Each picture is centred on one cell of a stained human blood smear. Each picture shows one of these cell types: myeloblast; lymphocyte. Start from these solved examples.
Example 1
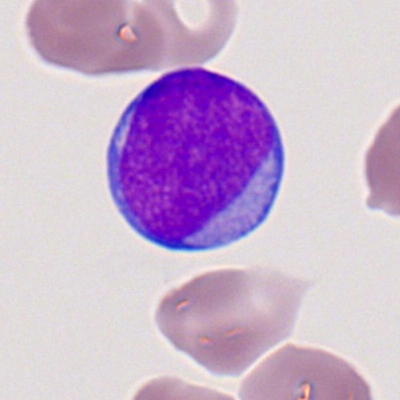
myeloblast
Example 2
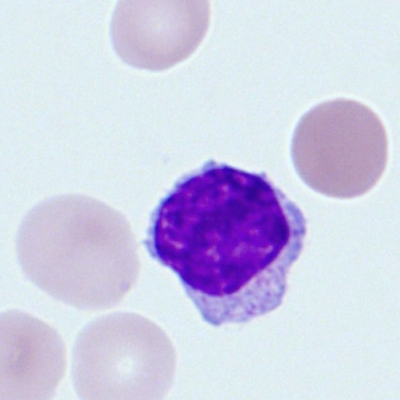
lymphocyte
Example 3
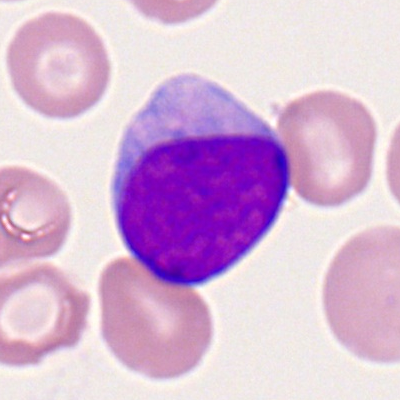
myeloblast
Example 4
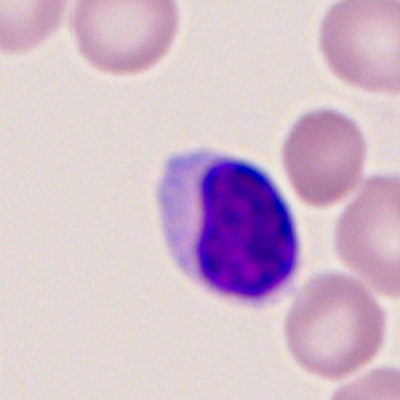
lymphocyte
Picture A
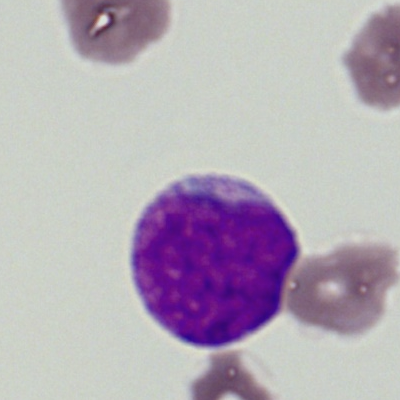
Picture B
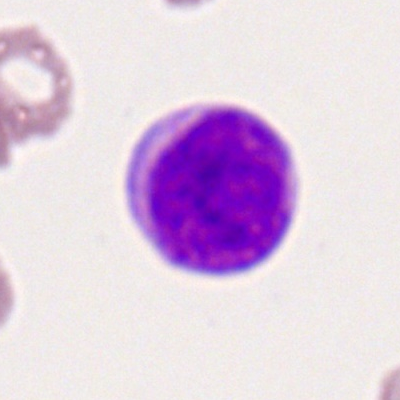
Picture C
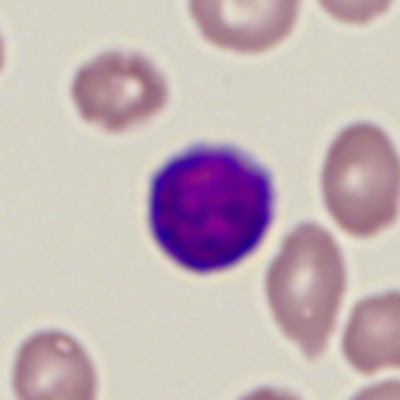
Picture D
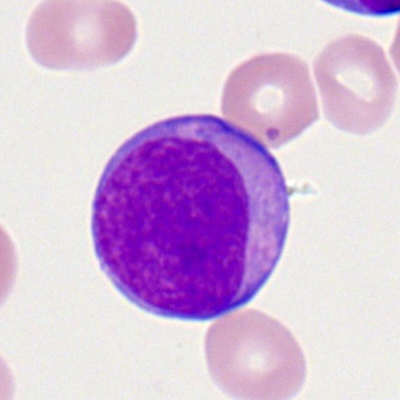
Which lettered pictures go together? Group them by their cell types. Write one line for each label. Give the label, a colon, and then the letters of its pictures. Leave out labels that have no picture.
myeloblast: A, D
lymphocyte: B, C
